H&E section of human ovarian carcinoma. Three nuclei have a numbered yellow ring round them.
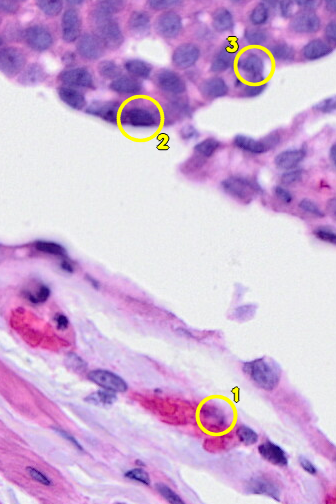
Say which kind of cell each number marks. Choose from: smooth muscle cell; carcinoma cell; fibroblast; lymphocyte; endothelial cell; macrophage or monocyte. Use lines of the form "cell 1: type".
cell 1: endothelial cell
cell 2: carcinoma cell
cell 3: carcinoma cell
